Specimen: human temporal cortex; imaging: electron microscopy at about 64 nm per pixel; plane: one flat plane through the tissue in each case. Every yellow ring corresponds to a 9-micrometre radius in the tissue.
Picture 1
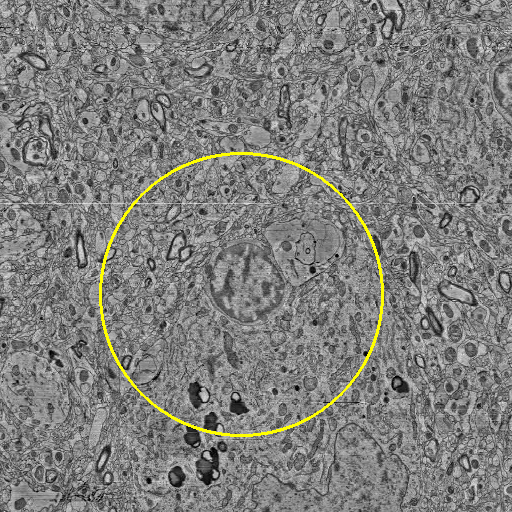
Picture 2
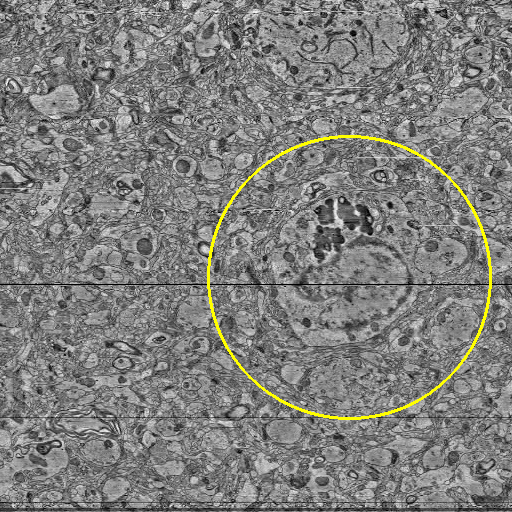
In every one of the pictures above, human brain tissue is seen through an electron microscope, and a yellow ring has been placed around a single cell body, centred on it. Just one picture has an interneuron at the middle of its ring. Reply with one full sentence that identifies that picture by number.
It is picture 2 that shows the wanted cell at its ring's centre.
